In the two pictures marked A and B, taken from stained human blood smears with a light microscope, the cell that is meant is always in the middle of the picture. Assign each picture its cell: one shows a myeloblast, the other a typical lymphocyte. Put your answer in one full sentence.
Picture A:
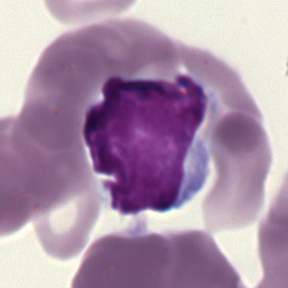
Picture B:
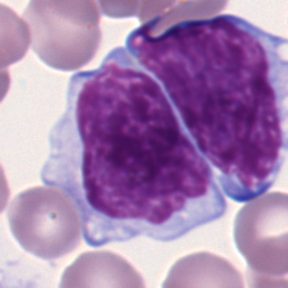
The cell in picture A is a typical lymphocyte, and the one in picture B is a myeloblast.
